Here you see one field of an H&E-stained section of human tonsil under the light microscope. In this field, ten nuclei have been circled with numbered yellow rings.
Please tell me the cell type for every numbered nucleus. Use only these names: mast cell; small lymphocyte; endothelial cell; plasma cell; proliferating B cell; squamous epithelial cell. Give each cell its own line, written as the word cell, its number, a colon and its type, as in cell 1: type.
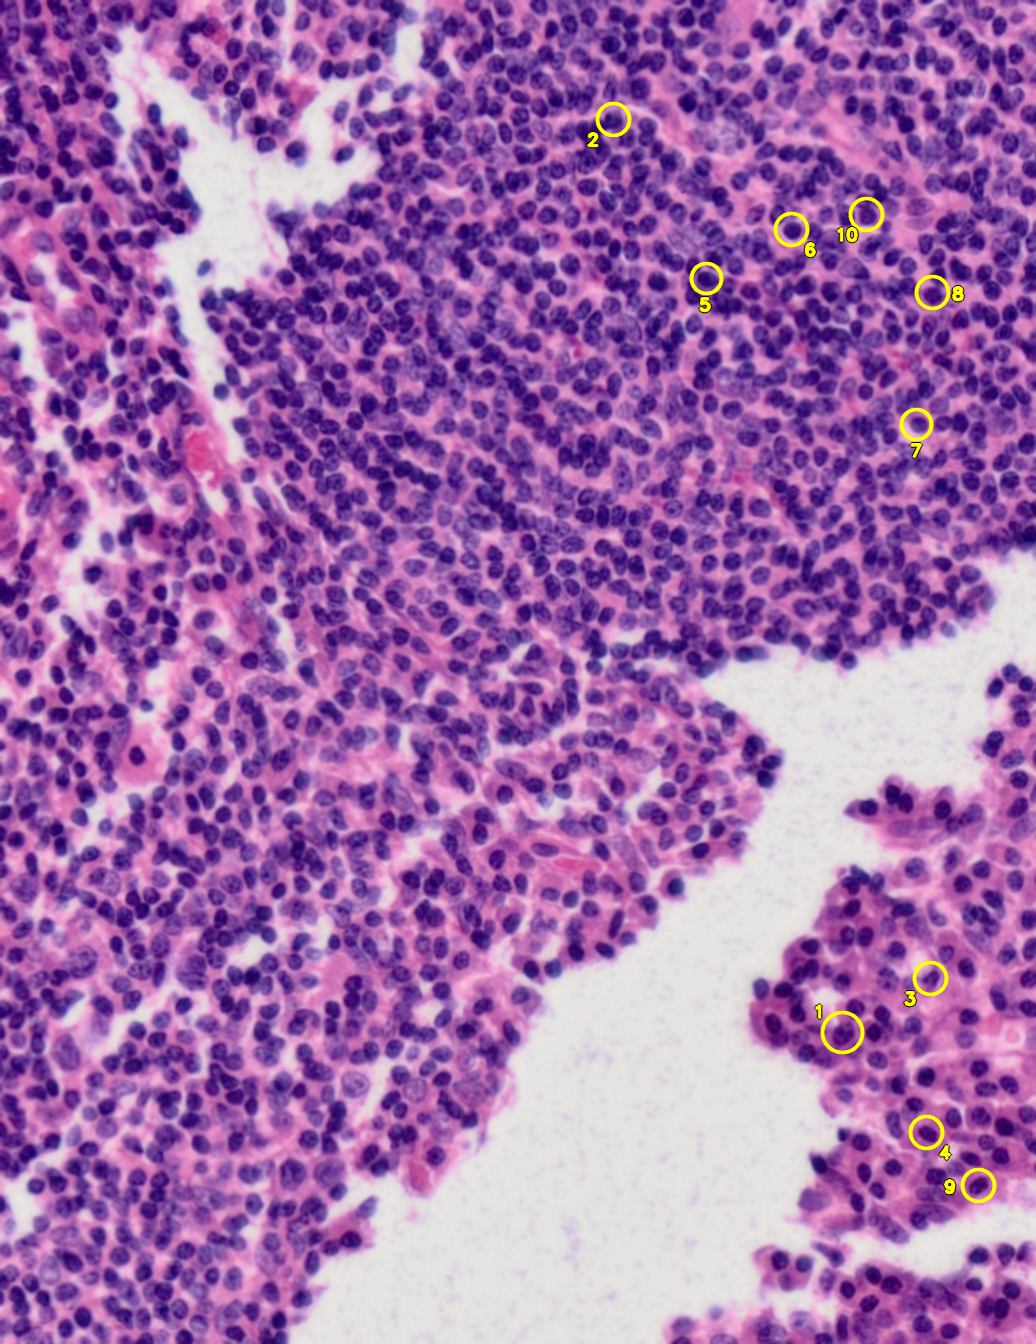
cell 1: plasma cell
cell 2: small lymphocyte
cell 3: plasma cell
cell 4: plasma cell
cell 5: small lymphocyte
cell 6: small lymphocyte
cell 7: small lymphocyte
cell 8: small lymphocyte
cell 9: plasma cell
cell 10: small lymphocyte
